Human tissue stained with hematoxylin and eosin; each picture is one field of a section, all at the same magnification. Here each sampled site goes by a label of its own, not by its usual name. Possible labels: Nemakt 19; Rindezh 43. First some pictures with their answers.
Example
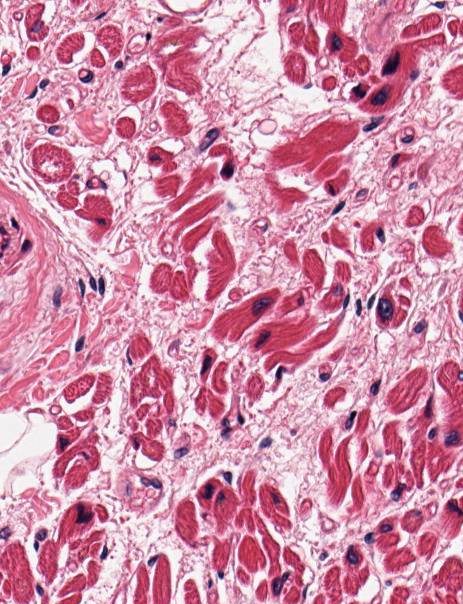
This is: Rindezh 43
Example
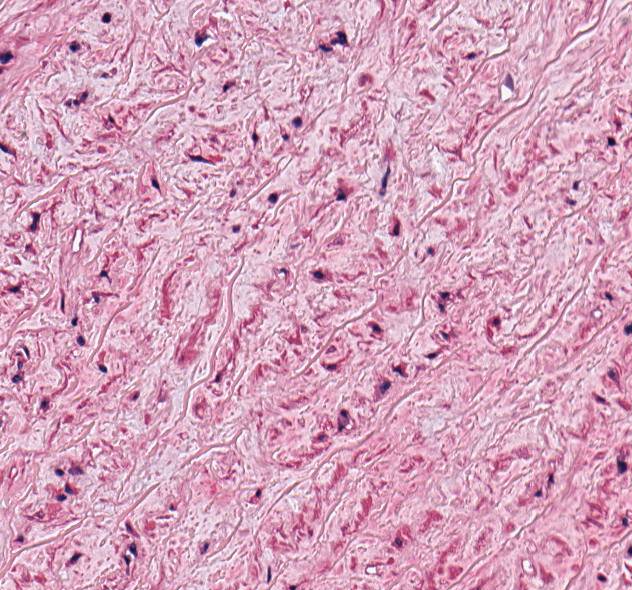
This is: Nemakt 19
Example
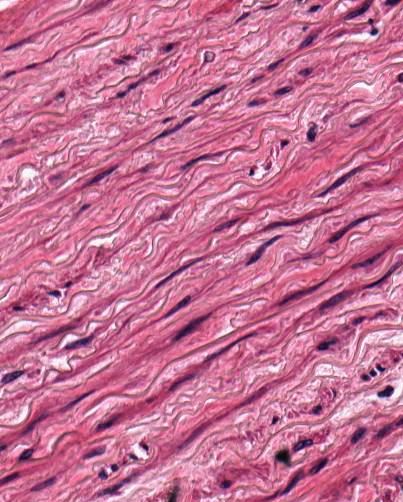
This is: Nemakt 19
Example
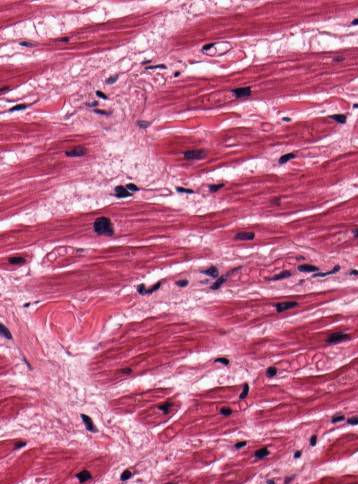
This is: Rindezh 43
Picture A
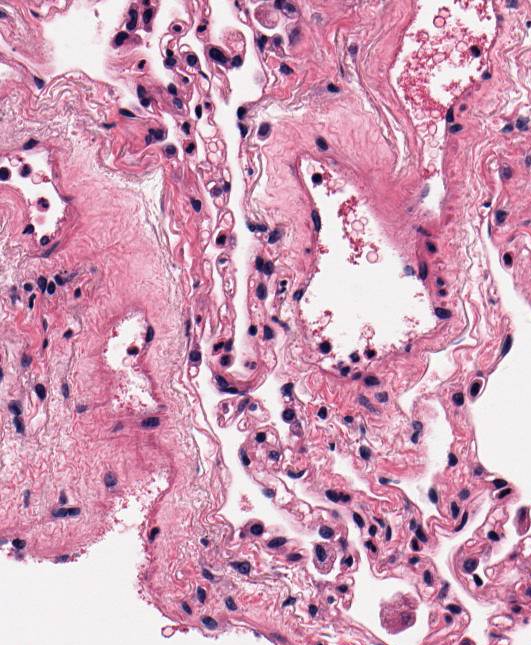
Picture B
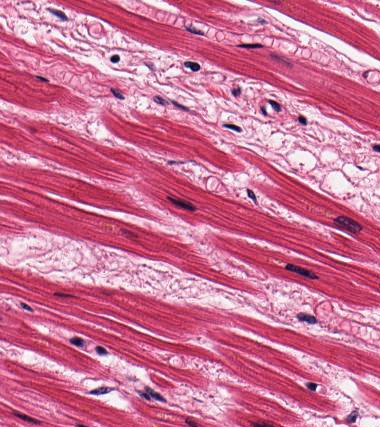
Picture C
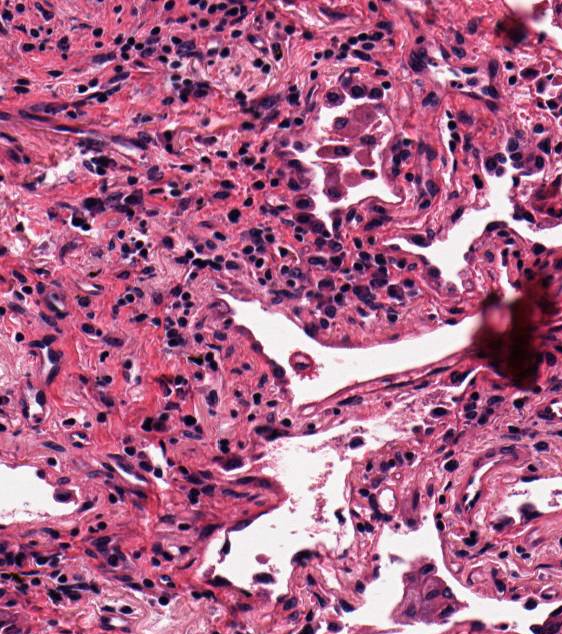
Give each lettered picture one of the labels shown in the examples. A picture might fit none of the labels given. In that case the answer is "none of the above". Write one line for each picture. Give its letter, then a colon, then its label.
A: none of the above
B: Rindezh 43
C: none of the above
